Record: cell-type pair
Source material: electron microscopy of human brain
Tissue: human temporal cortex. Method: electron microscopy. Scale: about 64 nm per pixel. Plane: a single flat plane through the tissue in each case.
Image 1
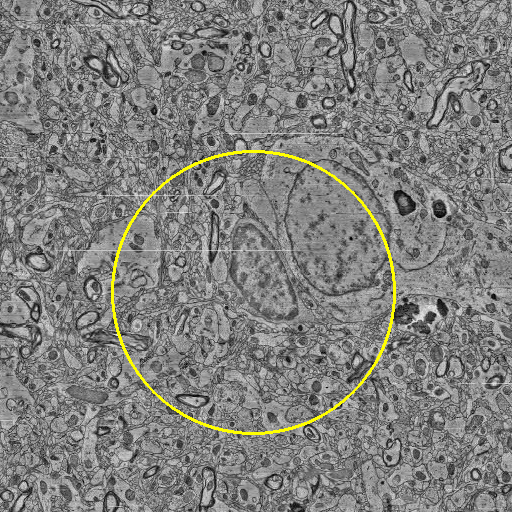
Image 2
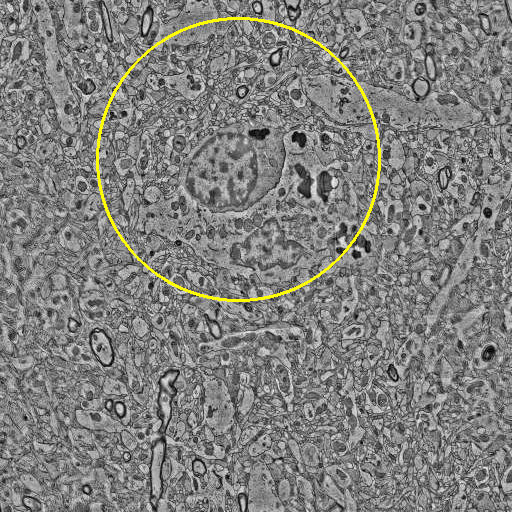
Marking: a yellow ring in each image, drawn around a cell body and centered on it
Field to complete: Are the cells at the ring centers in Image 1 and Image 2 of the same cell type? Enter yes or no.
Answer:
yes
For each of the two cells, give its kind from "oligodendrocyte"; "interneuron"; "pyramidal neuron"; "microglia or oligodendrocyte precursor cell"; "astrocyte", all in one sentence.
Both cells are the same kind, each one being an oligodendrocyte.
